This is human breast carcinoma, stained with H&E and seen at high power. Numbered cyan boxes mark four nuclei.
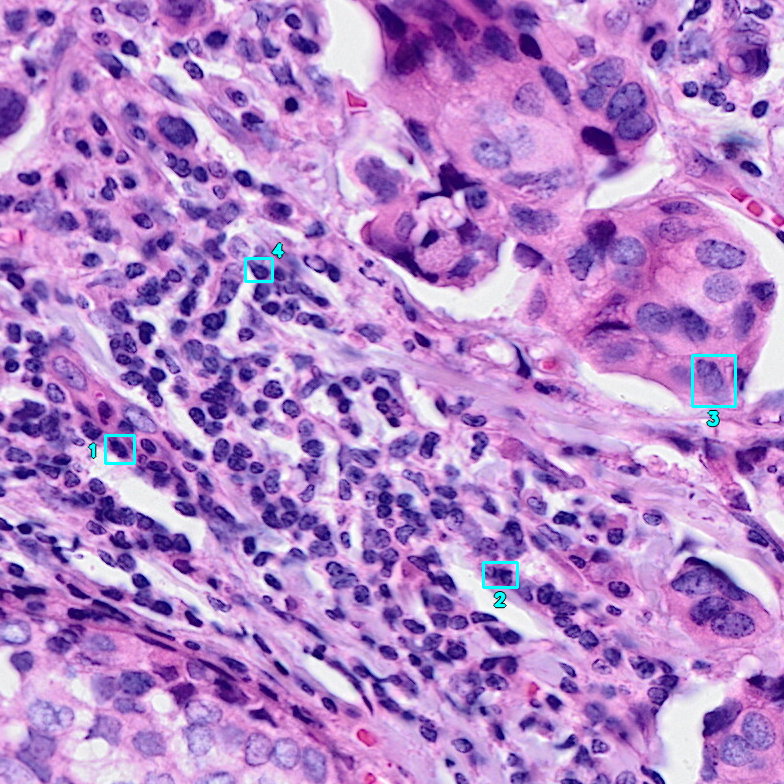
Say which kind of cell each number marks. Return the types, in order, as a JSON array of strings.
["lymphocyte", "lymphocyte", "carcinoma cell", "lymphocyte"]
